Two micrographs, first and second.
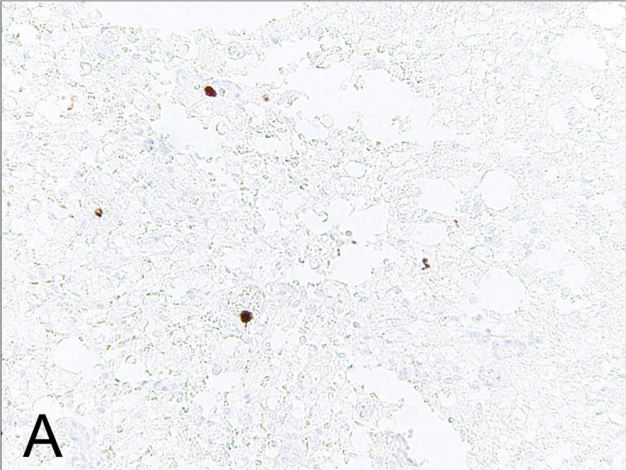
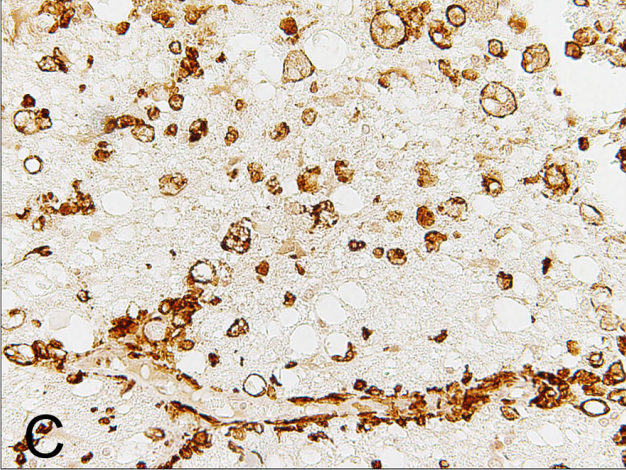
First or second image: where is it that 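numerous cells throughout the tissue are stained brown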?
the second image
